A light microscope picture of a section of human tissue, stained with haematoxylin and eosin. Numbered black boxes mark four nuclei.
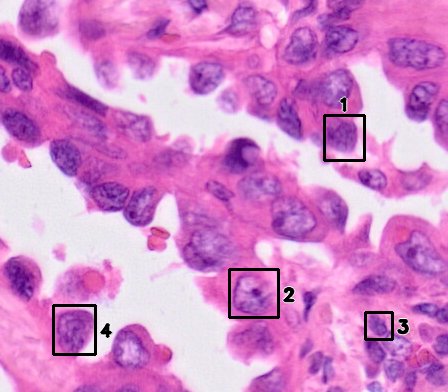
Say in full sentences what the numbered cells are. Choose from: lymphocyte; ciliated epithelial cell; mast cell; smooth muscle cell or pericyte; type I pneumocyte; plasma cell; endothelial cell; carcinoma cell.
Cells 1, 2 and 4 are carcinoma cells. Cell 3 is a lymphocyte.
